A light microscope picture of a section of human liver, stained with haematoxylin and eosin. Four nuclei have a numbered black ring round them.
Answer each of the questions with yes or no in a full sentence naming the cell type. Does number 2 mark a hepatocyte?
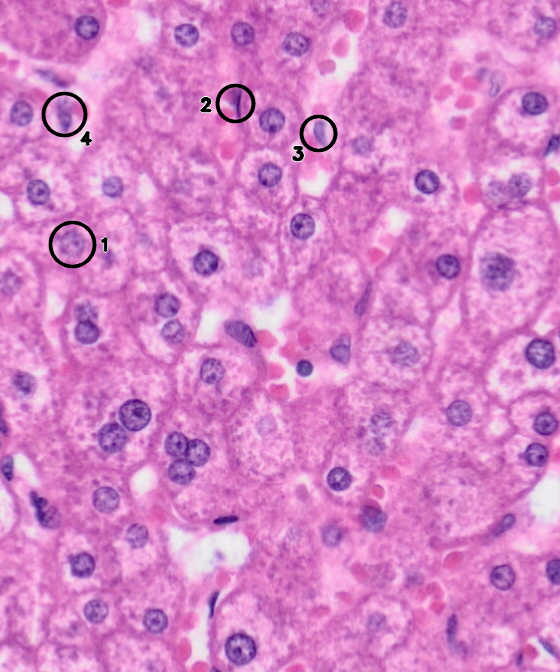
No, the cell given the number 2 is an endothelial cell, so not a hepatocyte.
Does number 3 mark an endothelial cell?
Yes, exactly, the cell numbered 3 is an endothelial cell.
